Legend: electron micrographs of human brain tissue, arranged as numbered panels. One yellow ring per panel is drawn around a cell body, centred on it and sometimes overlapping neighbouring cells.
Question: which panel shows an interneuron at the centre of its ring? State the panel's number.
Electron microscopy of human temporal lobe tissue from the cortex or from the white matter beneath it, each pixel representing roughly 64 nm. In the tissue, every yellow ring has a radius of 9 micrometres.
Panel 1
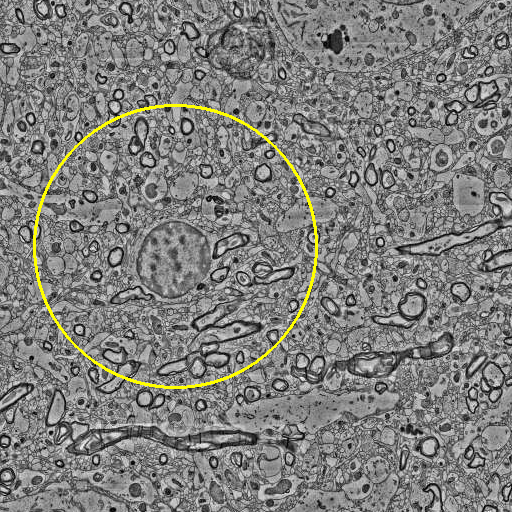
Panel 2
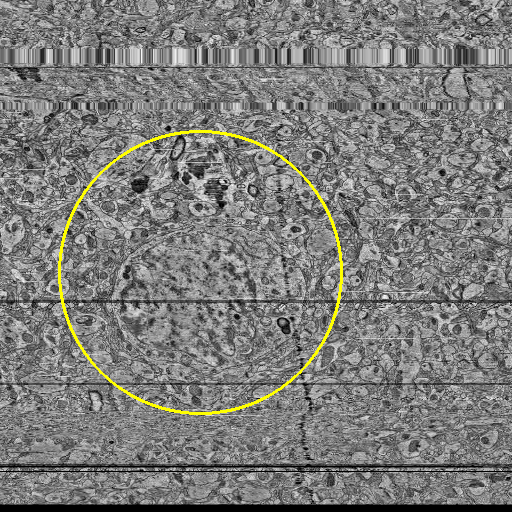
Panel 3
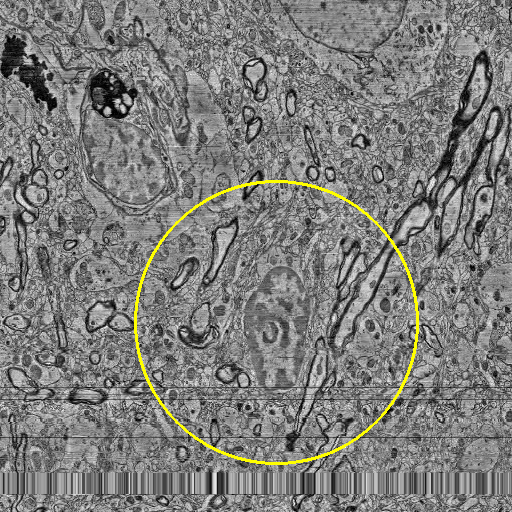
2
